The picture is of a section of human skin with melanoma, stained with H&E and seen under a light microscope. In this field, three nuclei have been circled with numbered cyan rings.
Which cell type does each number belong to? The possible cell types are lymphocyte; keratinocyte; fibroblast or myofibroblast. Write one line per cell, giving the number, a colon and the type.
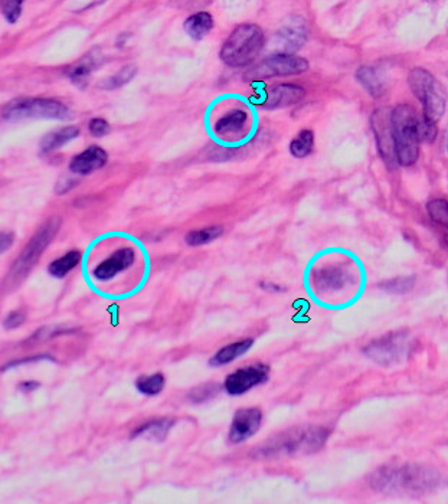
1: lymphocyte
2: fibroblast or myofibroblast
3: lymphocyte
